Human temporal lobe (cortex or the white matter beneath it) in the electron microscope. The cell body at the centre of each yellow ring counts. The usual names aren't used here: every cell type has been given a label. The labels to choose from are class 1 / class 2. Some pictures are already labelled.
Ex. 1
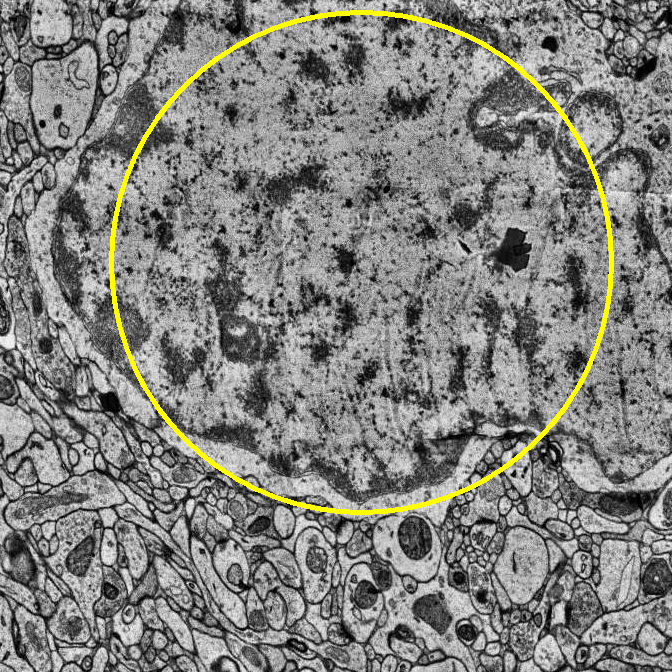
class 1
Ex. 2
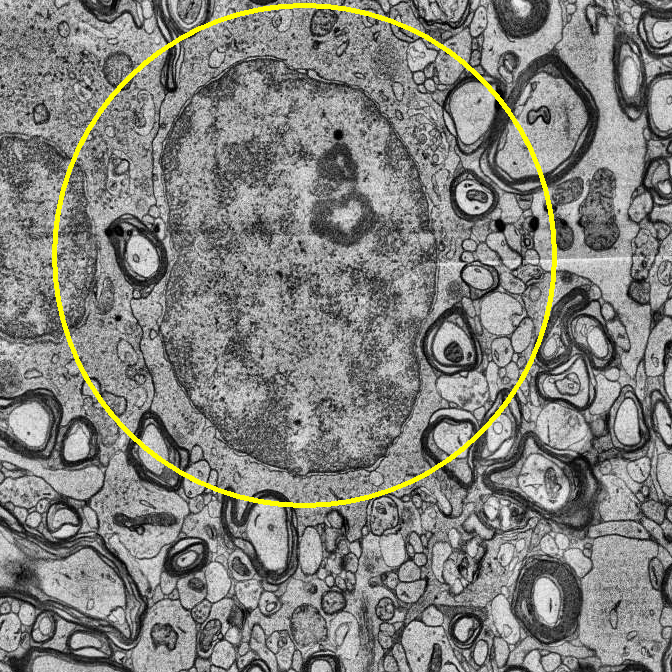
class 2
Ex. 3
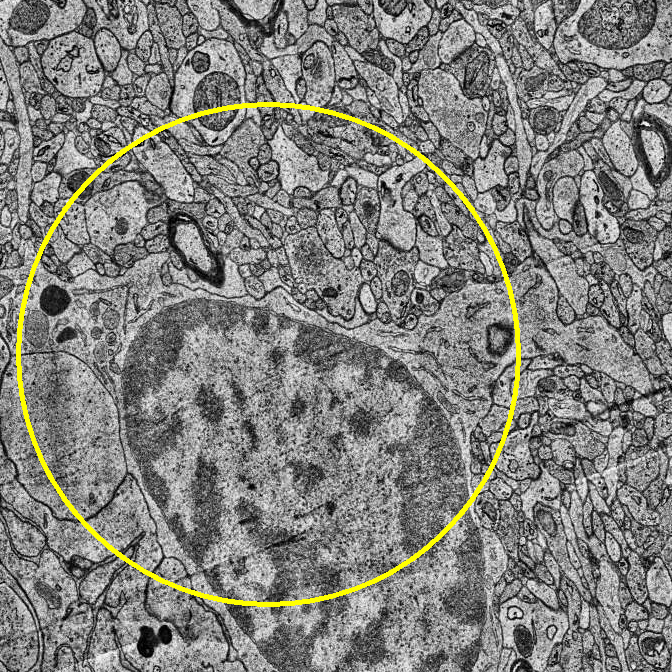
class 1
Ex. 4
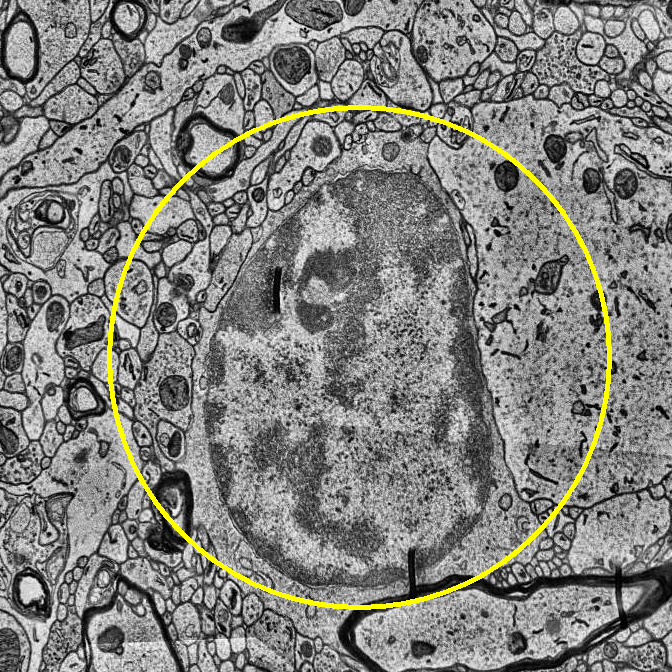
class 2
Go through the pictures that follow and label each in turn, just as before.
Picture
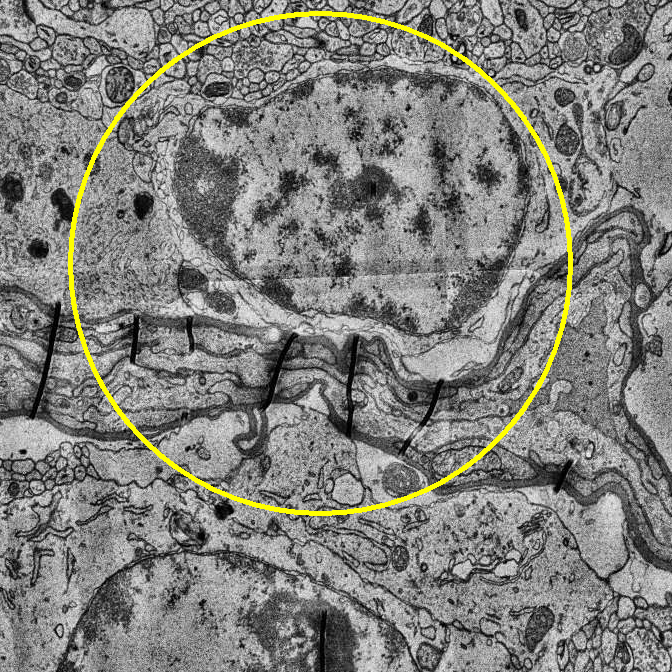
class 1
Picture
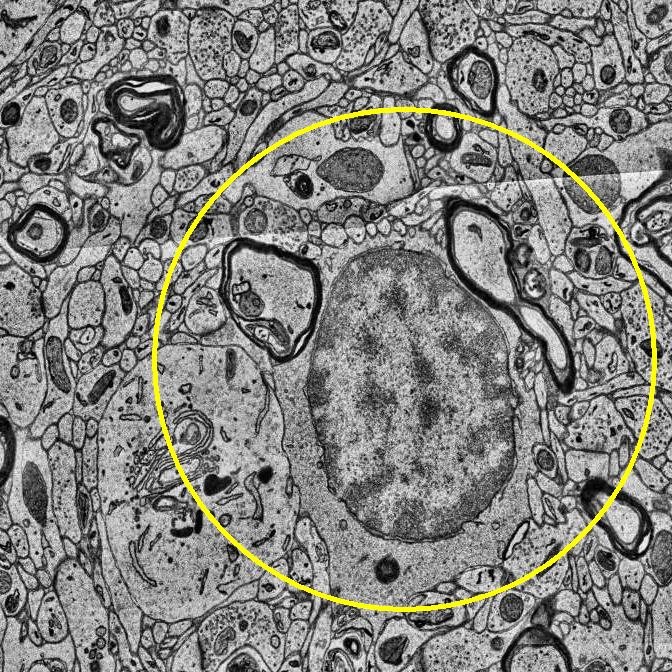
class 2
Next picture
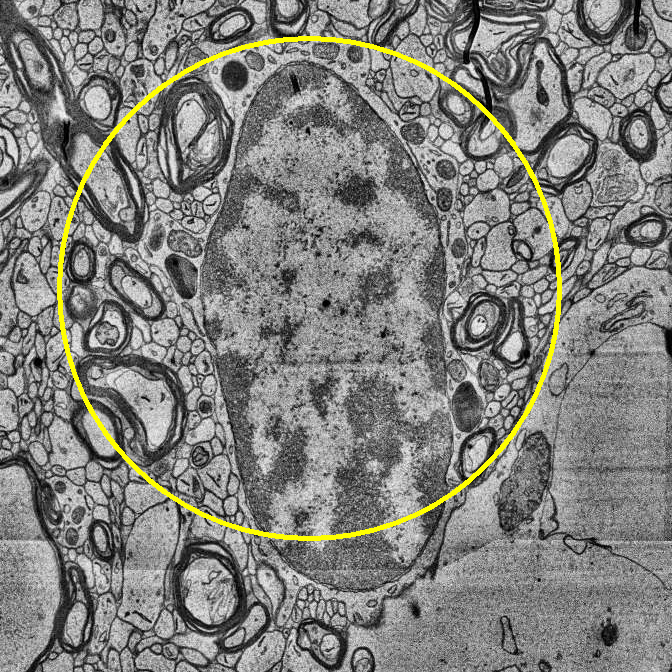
class 1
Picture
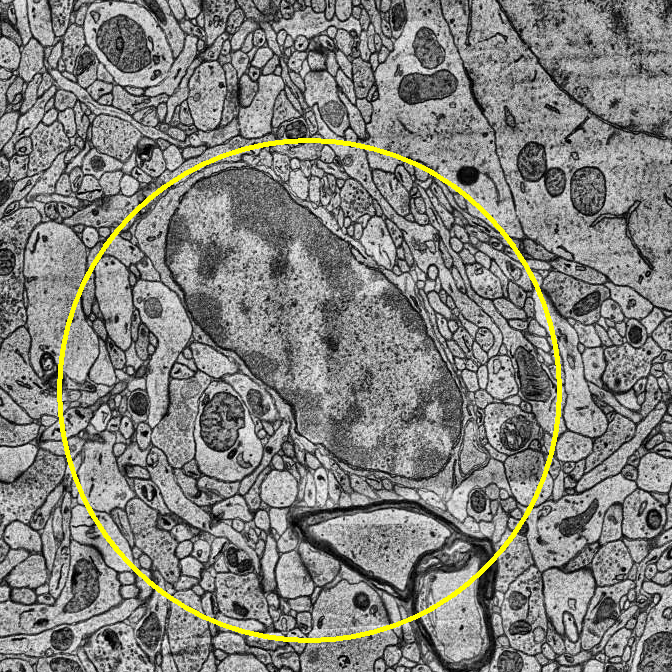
class 1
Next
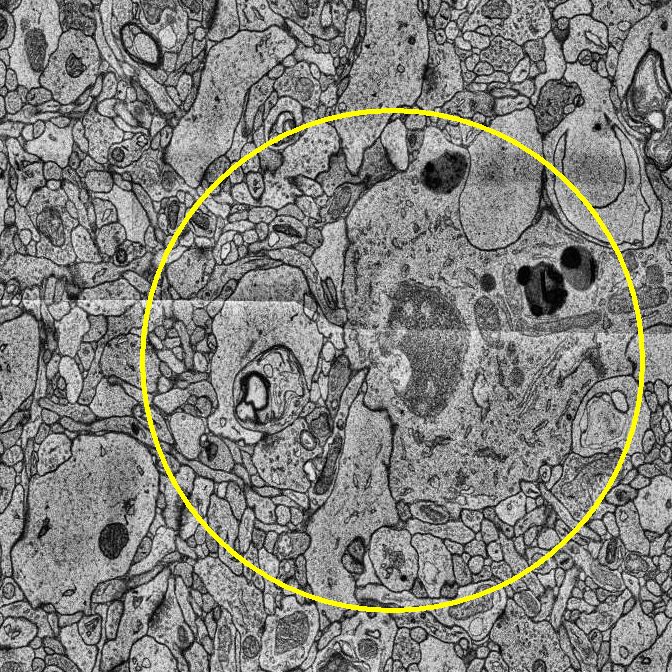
class 1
